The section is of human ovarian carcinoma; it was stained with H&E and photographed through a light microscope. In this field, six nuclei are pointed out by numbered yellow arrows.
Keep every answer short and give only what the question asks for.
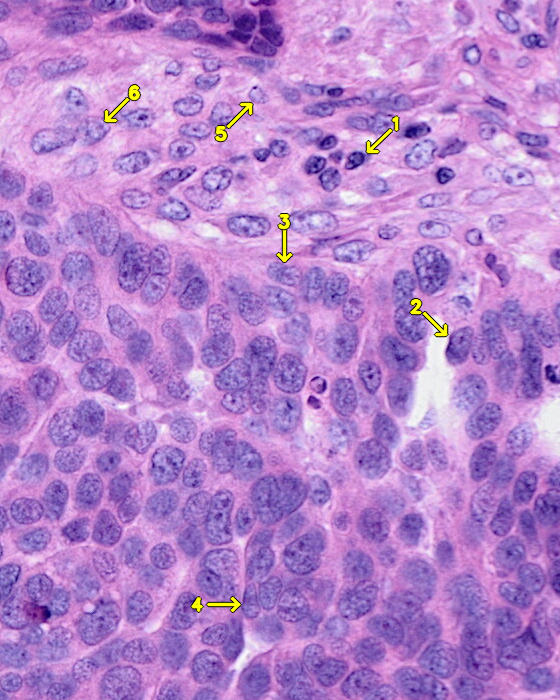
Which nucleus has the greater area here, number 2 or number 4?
2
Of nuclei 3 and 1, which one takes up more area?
3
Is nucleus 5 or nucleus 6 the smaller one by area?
5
